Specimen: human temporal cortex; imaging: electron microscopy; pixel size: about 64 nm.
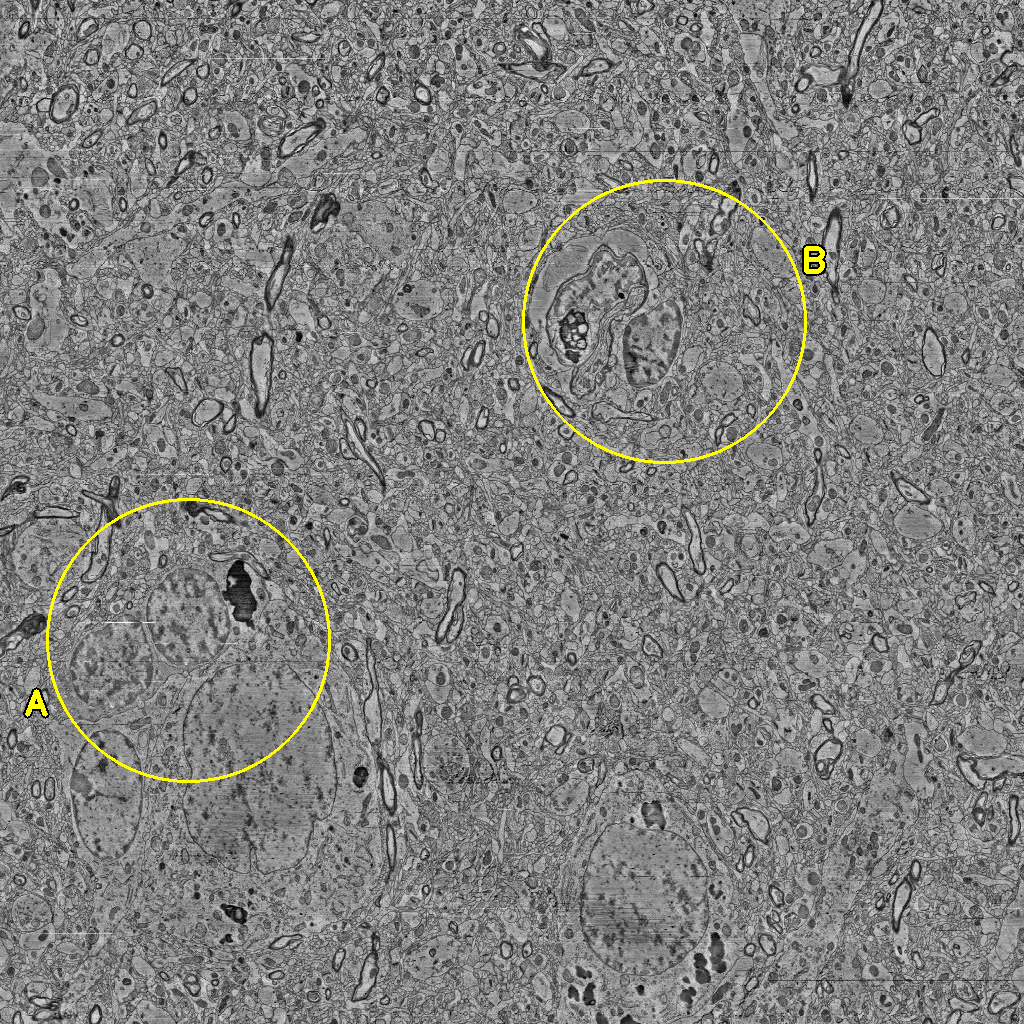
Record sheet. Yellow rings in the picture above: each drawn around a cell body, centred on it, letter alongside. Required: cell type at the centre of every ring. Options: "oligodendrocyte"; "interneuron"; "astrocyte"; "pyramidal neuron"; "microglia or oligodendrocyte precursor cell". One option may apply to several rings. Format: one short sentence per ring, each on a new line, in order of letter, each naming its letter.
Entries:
Ring A contains an oligodendrocyte at the centre.
Ring B contains a microglial cell or oligodendrocyte precursor cell at the centre.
